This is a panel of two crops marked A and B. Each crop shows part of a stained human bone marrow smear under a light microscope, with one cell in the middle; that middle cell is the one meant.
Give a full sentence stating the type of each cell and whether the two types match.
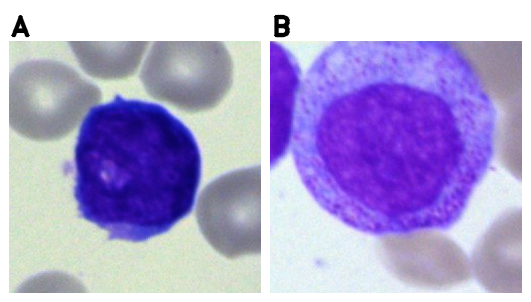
No, the labels go like this: crop A is a blast and crop B is a myelocyte.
